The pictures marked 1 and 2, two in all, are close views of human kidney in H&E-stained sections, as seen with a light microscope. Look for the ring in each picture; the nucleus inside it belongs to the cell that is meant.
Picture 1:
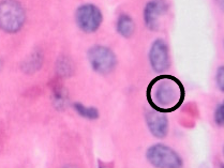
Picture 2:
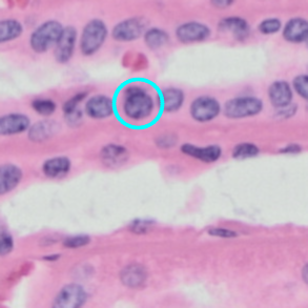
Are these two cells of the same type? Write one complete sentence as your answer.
Yes; the cells in both pictures are collecting duct cells.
